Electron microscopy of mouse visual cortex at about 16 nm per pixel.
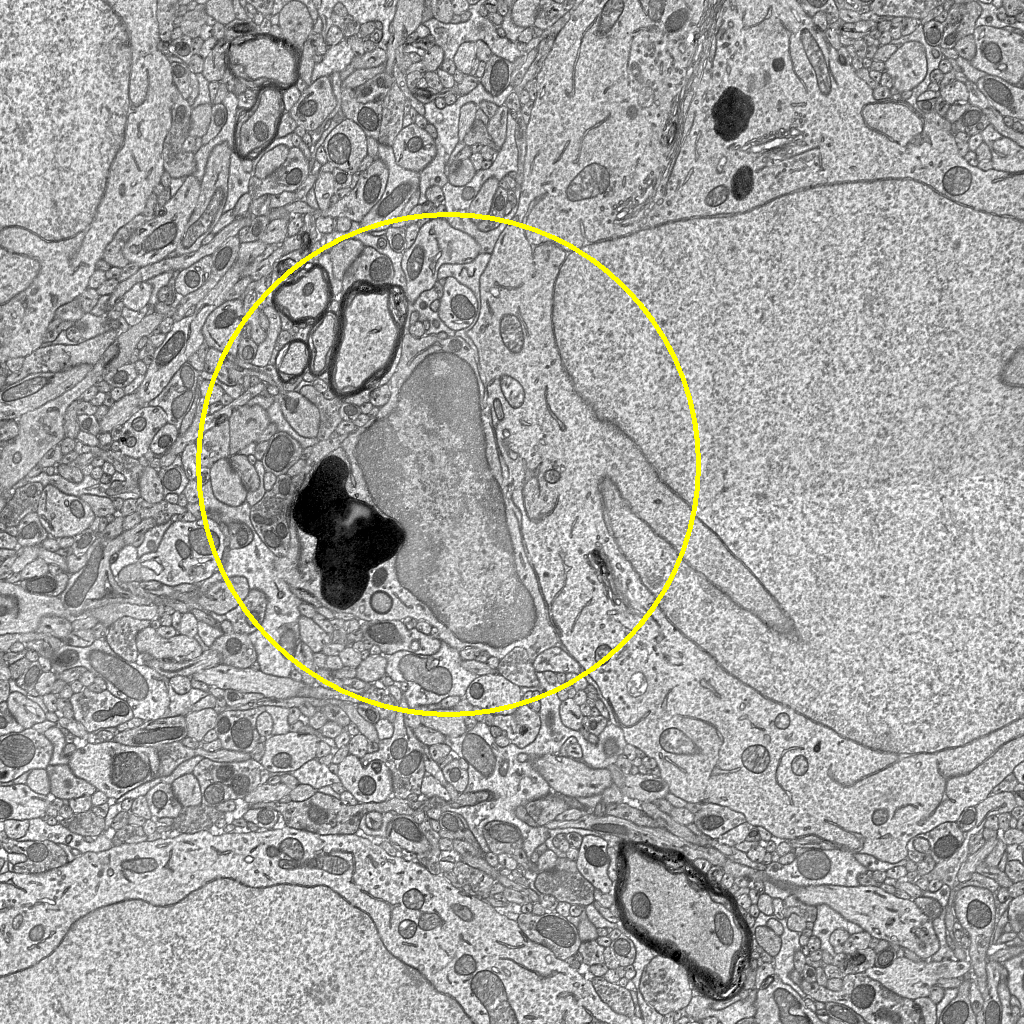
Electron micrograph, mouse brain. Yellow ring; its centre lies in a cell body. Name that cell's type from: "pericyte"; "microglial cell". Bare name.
microglial cell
